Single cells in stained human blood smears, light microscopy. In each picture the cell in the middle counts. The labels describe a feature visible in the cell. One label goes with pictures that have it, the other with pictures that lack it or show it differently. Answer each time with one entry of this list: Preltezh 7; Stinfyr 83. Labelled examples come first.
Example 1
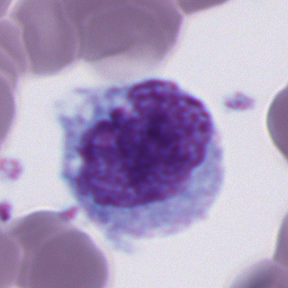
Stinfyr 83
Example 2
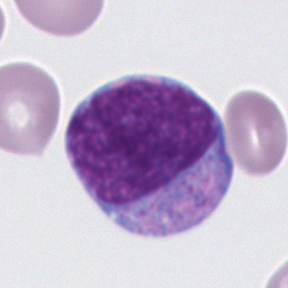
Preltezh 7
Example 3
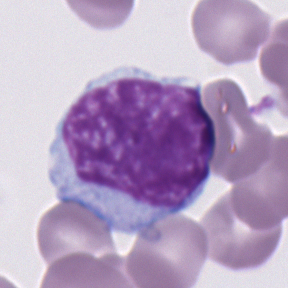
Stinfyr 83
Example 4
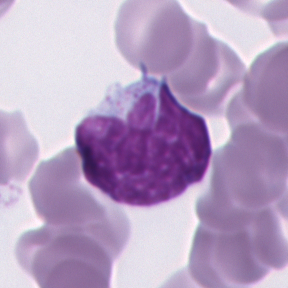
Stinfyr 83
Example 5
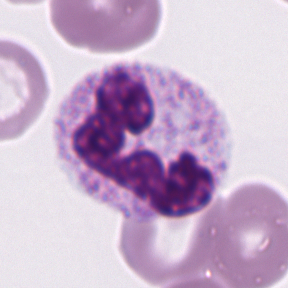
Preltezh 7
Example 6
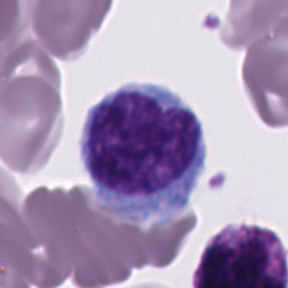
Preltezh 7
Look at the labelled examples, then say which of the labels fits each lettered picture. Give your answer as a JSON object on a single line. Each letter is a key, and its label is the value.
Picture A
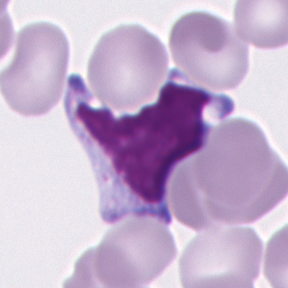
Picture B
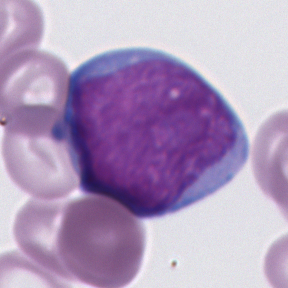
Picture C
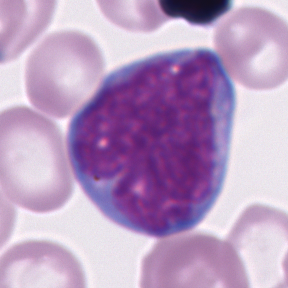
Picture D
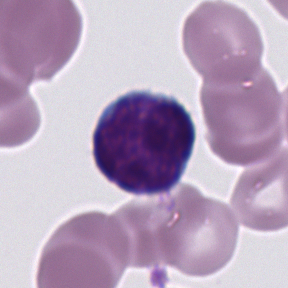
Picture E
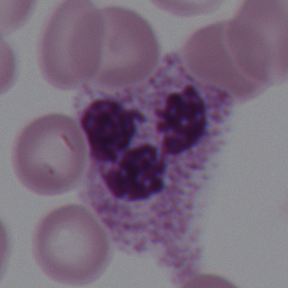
{"A": "Stinfyr 83", "B": "Preltezh 7", "C": "Preltezh 7", "D": "Preltezh 7", "E": "Stinfyr 83"}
